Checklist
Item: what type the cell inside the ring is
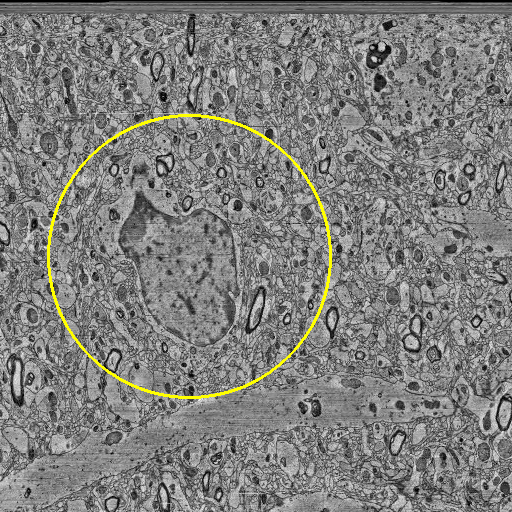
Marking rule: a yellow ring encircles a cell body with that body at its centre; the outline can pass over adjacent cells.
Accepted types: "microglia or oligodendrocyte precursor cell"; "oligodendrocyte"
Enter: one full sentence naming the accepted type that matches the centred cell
The entry is that a microglial cell or oligodendrocyte precursor cell lies at the centre of the yellow ring.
